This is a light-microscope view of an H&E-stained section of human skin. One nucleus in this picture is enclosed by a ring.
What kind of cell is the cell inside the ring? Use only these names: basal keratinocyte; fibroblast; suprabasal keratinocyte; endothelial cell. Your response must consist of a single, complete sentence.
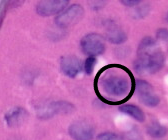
Placed in its cell category, the cell inside the ring is a basal keratinocyte.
